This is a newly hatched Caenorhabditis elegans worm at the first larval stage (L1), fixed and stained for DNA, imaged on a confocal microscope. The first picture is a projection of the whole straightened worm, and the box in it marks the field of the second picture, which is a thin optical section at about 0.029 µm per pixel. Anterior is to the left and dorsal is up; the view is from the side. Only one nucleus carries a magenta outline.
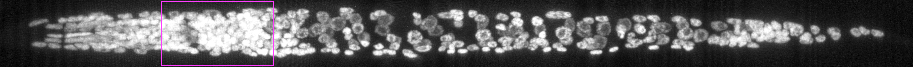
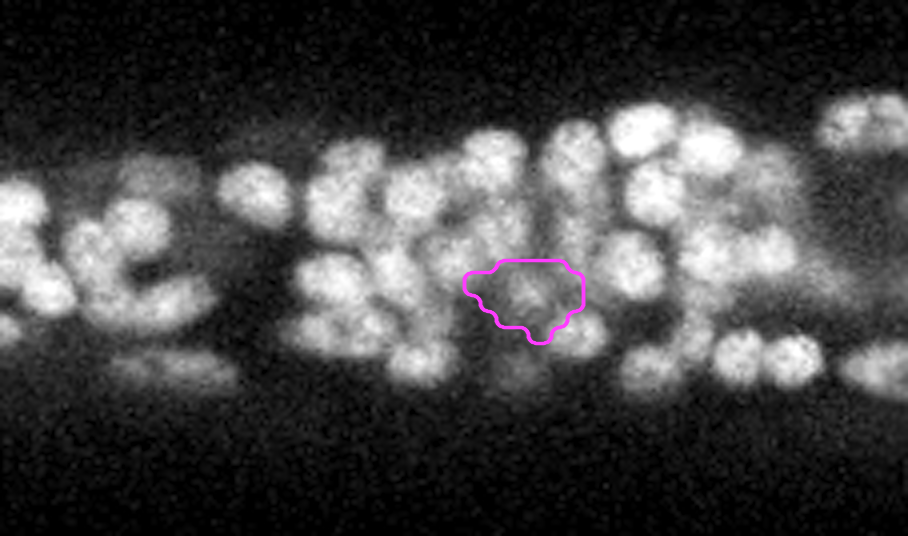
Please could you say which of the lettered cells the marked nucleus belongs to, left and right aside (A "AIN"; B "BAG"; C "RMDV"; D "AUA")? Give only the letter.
D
